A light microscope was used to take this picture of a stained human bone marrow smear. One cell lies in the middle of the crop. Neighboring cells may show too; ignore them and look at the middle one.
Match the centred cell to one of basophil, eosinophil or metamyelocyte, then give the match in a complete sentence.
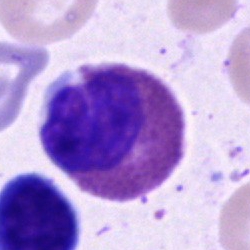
The central cell, amid any neighbouring cells, is an eosinophil.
